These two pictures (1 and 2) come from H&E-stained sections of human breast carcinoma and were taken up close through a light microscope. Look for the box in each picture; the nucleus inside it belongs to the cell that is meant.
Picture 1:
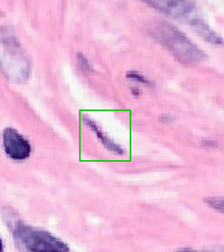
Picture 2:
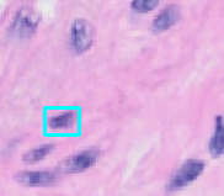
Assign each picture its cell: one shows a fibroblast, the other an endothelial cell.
1: fibroblast
2: endothelial cell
